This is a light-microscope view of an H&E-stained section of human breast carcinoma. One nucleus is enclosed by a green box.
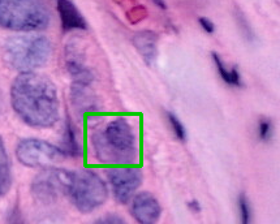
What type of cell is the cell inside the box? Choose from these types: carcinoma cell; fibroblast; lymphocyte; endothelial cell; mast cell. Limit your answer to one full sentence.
Histopathologically, the cell inside the box is a carcinoma cell.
